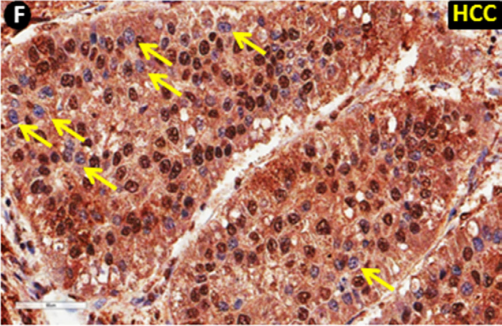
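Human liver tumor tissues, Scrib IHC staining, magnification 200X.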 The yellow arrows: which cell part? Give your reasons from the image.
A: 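Nuclei. Each arrow tips onto a round body inside a cell. The bodies pointed to are blue-grey rather than dark brown. They are surrounded by brown-stained cytoplasm.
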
